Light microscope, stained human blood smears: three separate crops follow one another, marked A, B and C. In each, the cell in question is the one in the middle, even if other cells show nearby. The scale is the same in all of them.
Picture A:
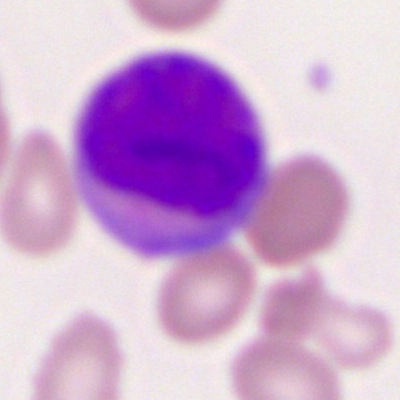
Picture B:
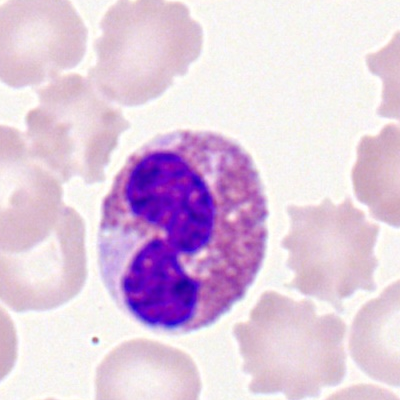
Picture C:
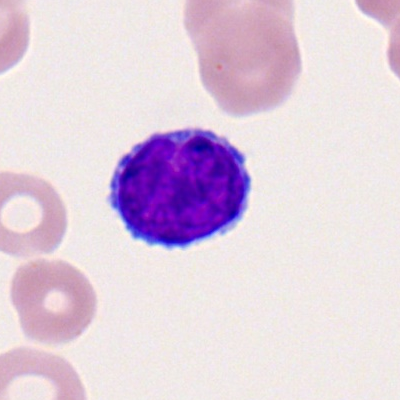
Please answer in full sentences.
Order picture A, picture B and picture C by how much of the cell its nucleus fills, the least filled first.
They run B, A, C, the least filled first.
